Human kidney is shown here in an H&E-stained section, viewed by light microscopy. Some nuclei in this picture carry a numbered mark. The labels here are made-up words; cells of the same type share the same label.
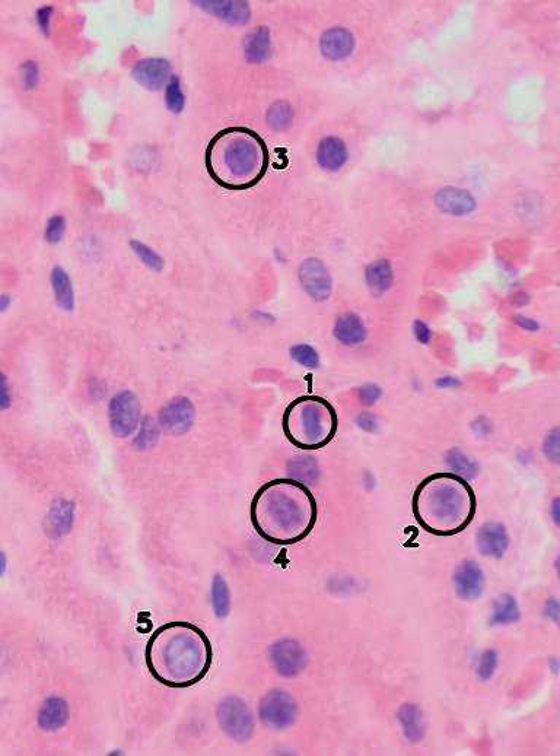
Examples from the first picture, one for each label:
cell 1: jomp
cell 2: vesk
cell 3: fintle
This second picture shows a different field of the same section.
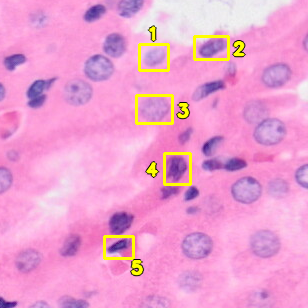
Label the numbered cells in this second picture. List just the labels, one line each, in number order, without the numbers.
vesk
vesk
fintle
fintle
jomp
